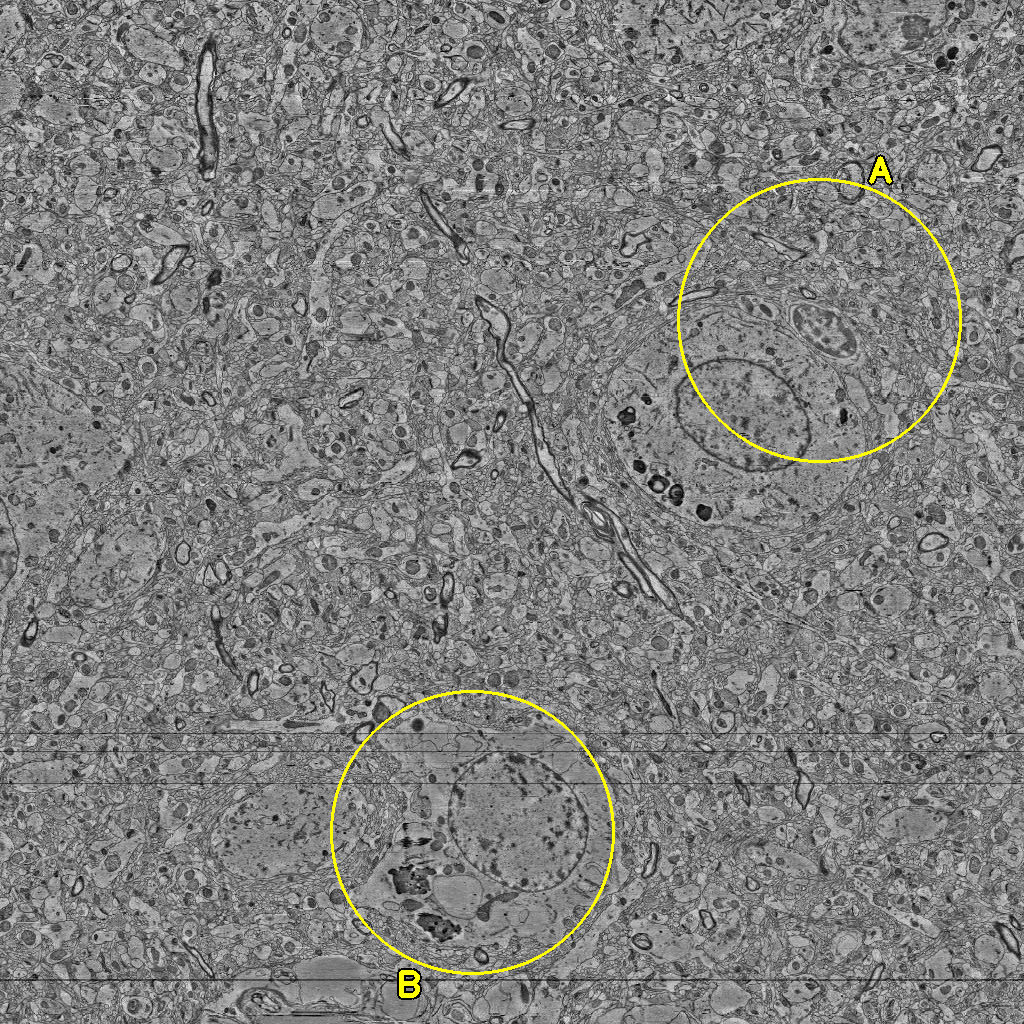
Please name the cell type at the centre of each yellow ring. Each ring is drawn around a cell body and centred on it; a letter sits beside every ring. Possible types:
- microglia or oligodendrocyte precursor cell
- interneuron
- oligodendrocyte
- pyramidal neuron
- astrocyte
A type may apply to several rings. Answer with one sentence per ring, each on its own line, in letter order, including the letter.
Ring A is centred on the cell body of a microglial cell or oligodendrocyte precursor cell.
Ring B is centred on the cell body of an astrocyte.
